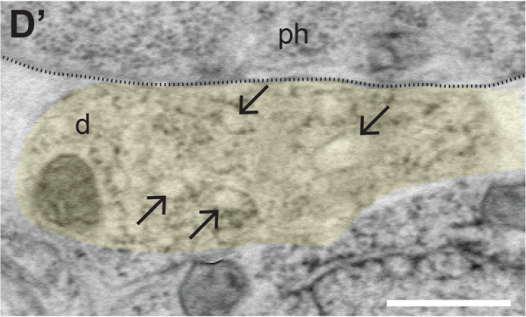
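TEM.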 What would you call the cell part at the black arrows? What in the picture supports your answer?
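Multiple smaller membrane-bound structures. The yellow process has no single large lumen. Arrows point at small pale membrane-bounded profiles in its cytoplasm.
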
